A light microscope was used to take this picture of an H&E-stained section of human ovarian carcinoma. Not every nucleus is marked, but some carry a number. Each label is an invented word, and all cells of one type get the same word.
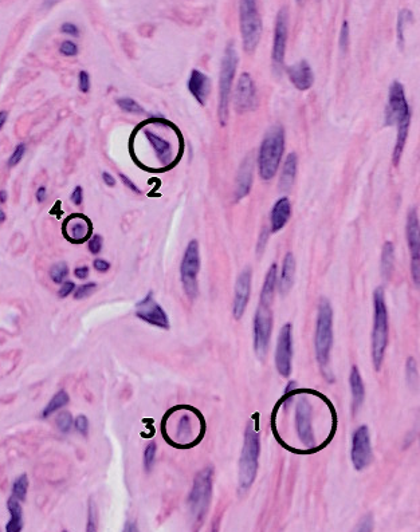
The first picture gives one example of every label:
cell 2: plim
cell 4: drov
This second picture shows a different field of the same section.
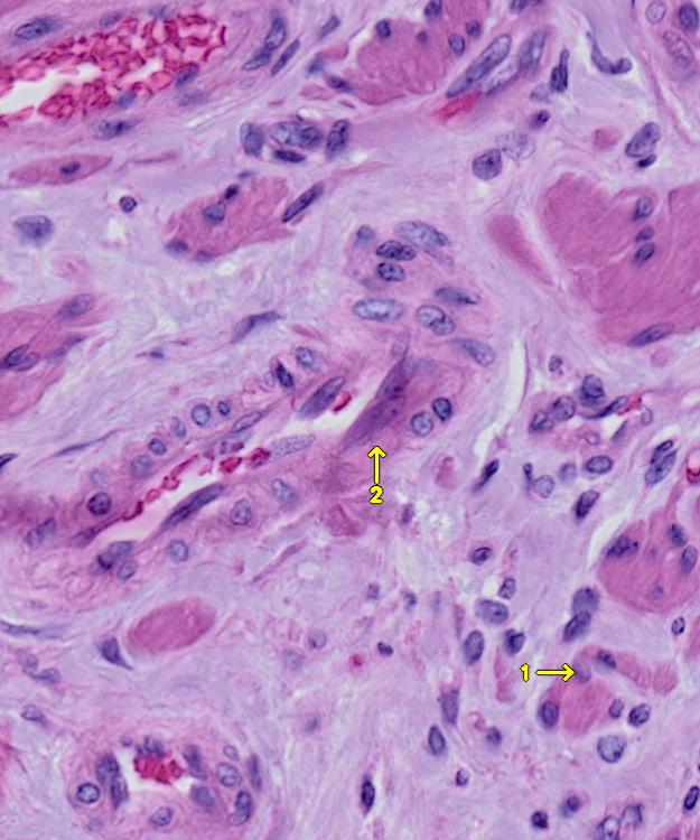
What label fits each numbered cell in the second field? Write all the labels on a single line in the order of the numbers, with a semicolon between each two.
drov; plim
